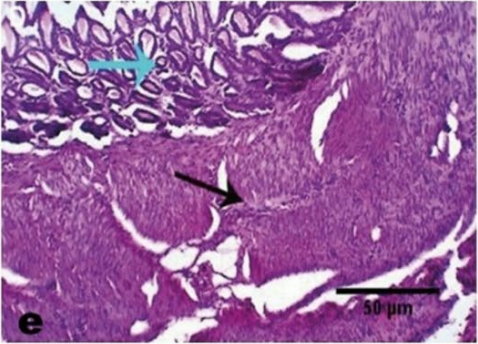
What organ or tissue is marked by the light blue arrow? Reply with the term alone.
Superficial glandular mucosa.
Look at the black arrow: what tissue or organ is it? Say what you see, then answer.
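Muscular coats. The arrow points into a broad dense band of pink-purple fibrous tissue with elongated nuclei. This band lies beneath a layer of rounded glandular units.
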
